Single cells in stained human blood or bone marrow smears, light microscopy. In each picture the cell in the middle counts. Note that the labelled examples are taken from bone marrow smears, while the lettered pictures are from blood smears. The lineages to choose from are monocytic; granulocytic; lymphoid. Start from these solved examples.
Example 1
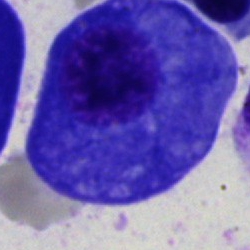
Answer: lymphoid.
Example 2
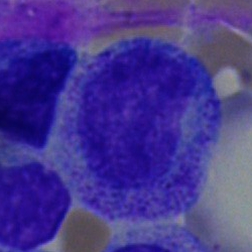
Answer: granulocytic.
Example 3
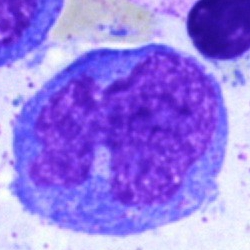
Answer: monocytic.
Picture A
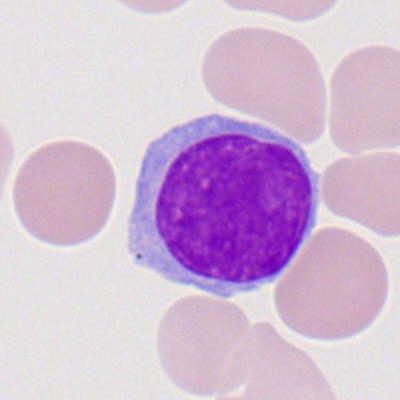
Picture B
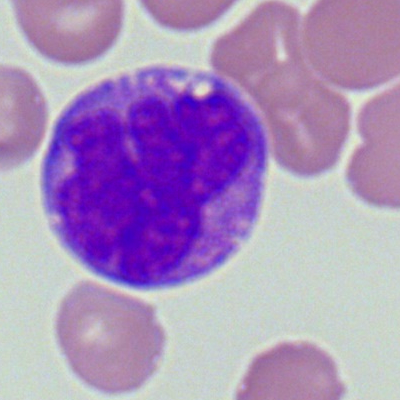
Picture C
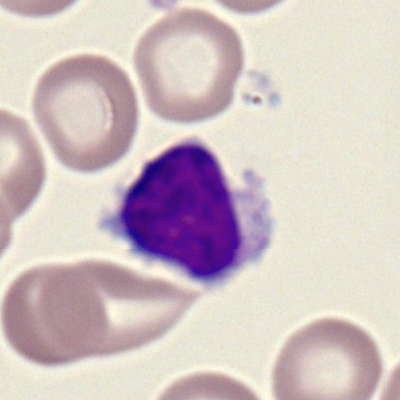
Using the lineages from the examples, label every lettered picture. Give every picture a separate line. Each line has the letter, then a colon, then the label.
A: lymphoid.
B: monocytic.
C: lymphoid.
